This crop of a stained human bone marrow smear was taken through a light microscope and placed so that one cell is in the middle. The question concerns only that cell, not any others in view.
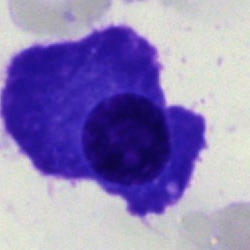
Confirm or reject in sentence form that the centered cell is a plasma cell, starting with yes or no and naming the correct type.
Yes, the cell shown at the crop's centre is a plasma cell.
